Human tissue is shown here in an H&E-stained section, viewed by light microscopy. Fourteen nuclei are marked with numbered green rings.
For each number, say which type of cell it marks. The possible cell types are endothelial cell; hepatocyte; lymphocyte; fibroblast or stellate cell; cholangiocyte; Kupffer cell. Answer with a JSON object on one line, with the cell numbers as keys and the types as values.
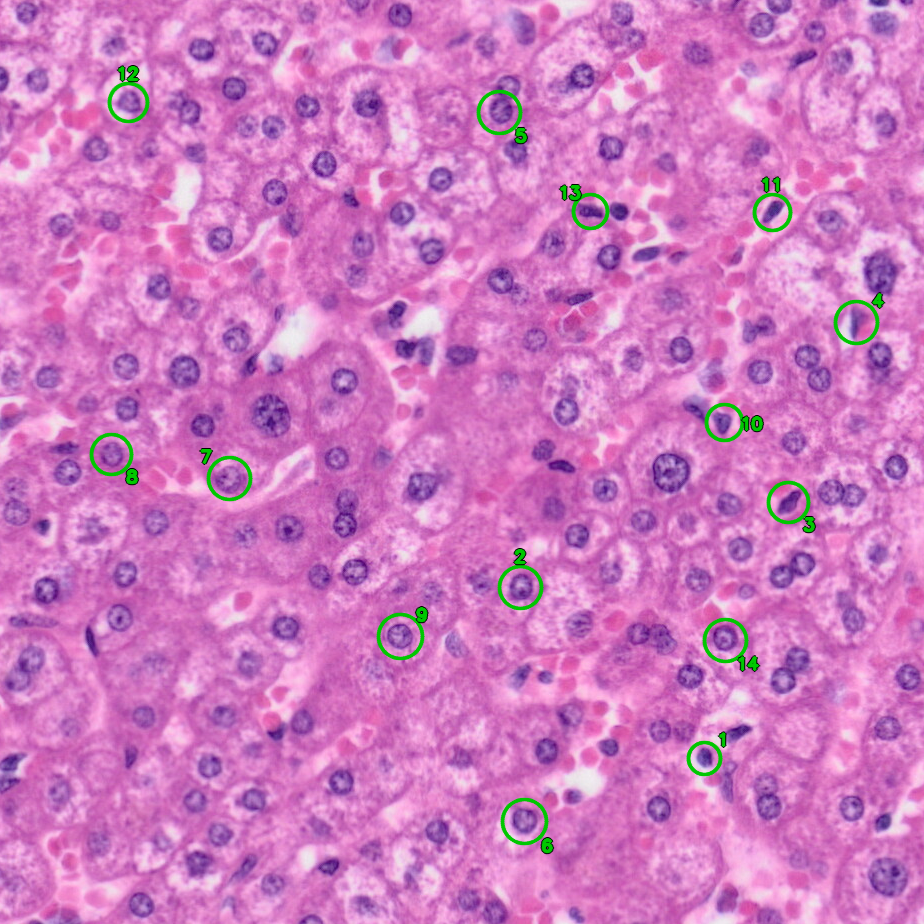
{"1": "lymphocyte", "2": "hepatocyte", "3": "endothelial cell", "4": "endothelial cell", "5": "hepatocyte", "6": "hepatocyte", "7": "hepatocyte", "8": "hepatocyte", "9": "hepatocyte", "10": "lymphocyte", "11": "lymphocyte", "12": "hepatocyte", "13": "fibroblast or stellate cell", "14": "hepatocyte"}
